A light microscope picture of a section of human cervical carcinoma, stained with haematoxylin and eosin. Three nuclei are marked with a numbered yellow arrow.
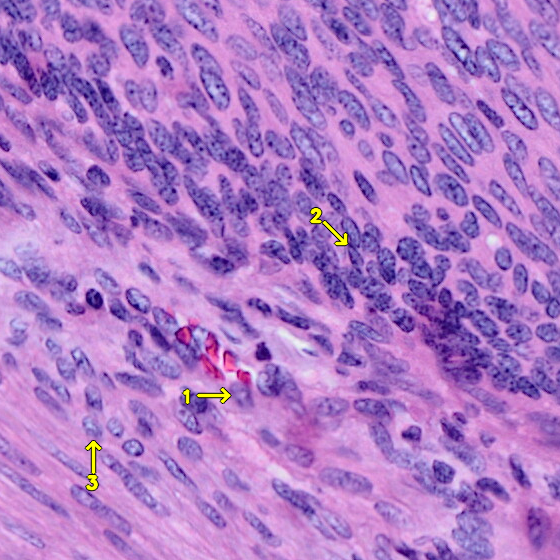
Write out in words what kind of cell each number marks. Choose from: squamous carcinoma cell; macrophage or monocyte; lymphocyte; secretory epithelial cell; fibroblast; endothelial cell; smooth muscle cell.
Cell 1 is an endothelial cell, cell 2 is a squamous carcinoma cell and cell 3 is a smooth muscle cell.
